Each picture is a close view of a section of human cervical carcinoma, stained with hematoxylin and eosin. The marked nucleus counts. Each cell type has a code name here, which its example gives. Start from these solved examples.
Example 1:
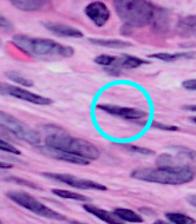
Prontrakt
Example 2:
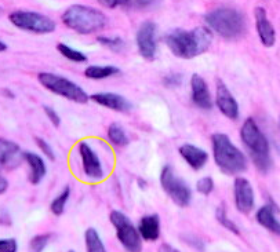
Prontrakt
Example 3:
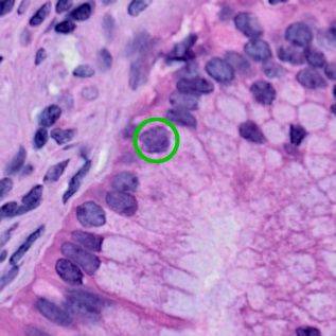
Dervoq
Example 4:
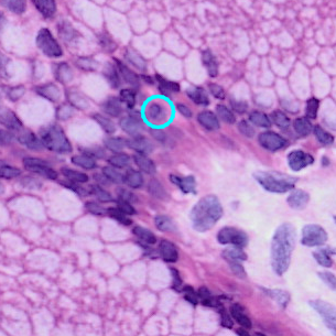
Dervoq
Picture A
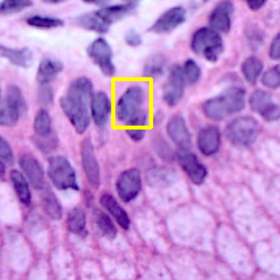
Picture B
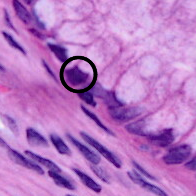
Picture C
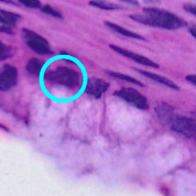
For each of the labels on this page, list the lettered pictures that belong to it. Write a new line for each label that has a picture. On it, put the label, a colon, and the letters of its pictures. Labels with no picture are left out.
Dervoq: A, B, C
